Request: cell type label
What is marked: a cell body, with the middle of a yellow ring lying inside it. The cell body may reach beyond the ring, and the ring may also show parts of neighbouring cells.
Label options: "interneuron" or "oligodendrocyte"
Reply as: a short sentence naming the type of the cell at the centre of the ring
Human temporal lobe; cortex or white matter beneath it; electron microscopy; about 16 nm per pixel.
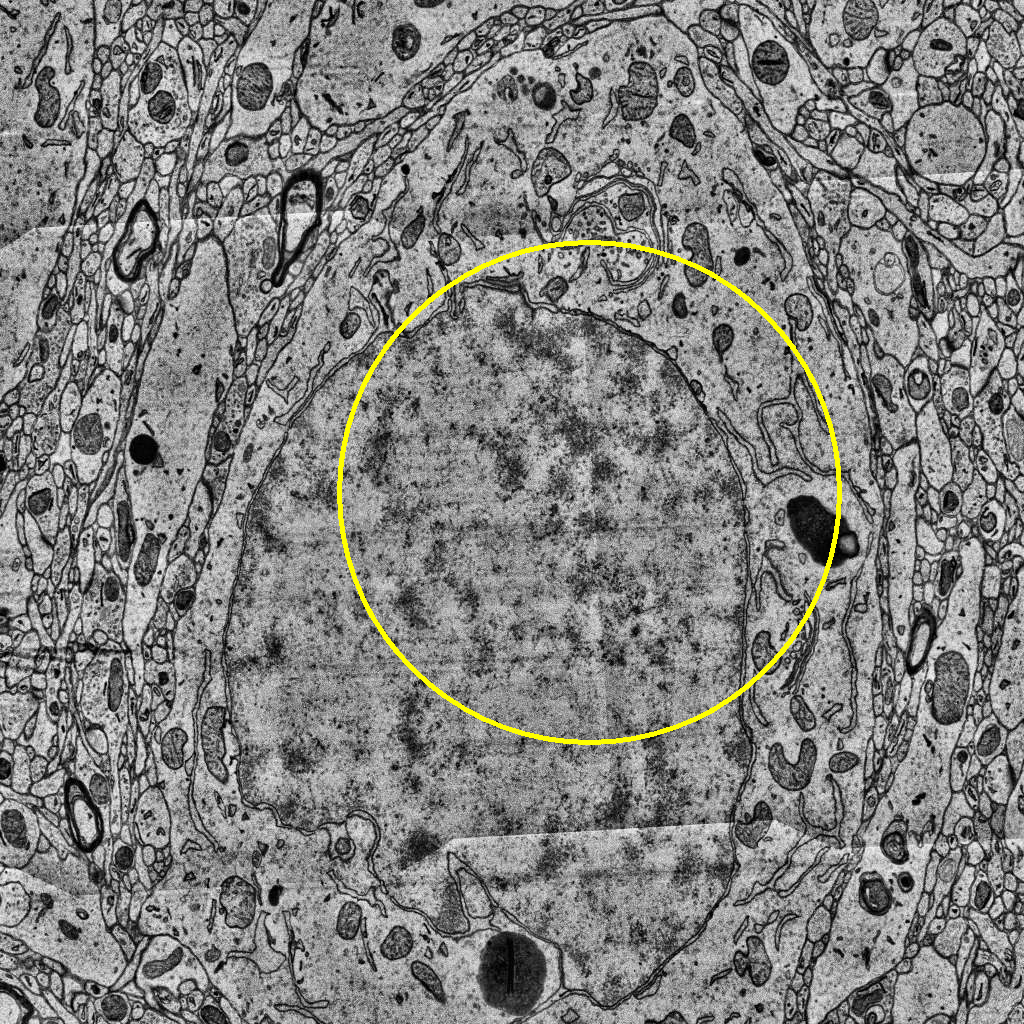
The marked cell body is that of an interneuron.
